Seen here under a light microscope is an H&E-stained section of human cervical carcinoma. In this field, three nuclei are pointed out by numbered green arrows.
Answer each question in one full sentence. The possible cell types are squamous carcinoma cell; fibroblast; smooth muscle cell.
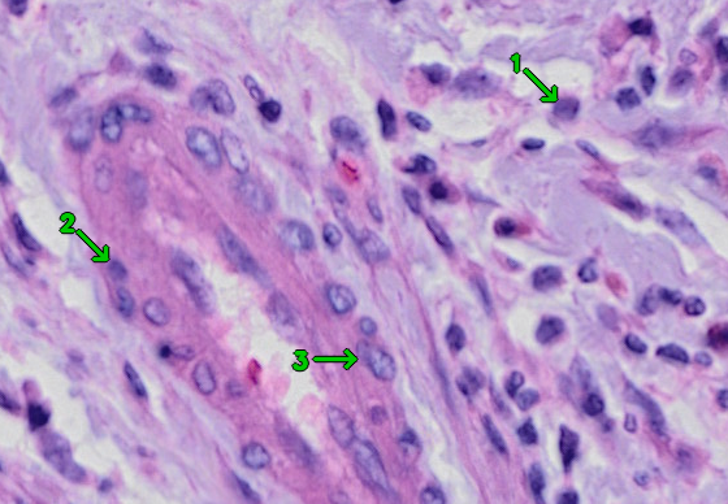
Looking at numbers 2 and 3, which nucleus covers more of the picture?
Nucleus 3 is larger, with an area about 1.5 times that of nucleus 2.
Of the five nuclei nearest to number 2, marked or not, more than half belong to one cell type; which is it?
The majority of the five nuclei closest to number 2 belong to smooth muscle cells.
